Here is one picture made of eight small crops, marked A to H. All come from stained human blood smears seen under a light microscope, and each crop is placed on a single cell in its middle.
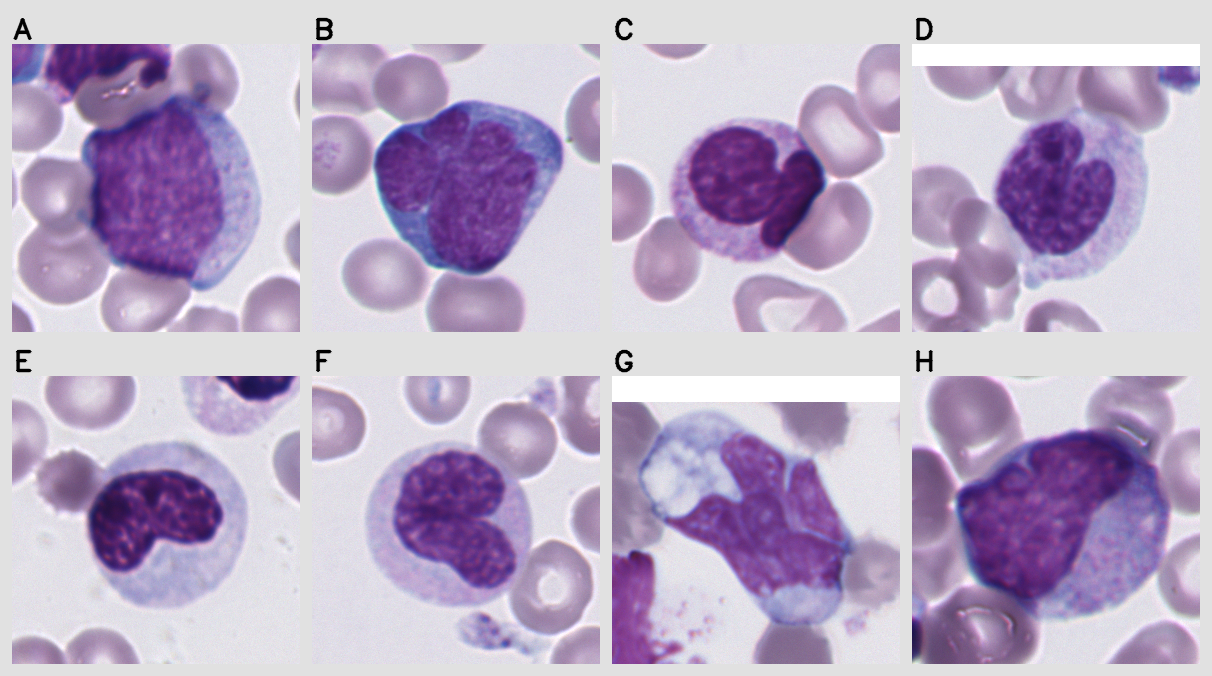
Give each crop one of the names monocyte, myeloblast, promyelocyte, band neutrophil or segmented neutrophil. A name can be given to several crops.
A: promyelocyte
B: myeloblast
C: segmented neutrophil
D: band neutrophil
E: band neutrophil
F: band neutrophil
G: monocyte
H: promyelocyte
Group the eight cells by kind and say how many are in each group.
band neutrophil: 3
promyelocyte: 2
myeloblast: 1
segmented neutrophil: 1
monocyte: 1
